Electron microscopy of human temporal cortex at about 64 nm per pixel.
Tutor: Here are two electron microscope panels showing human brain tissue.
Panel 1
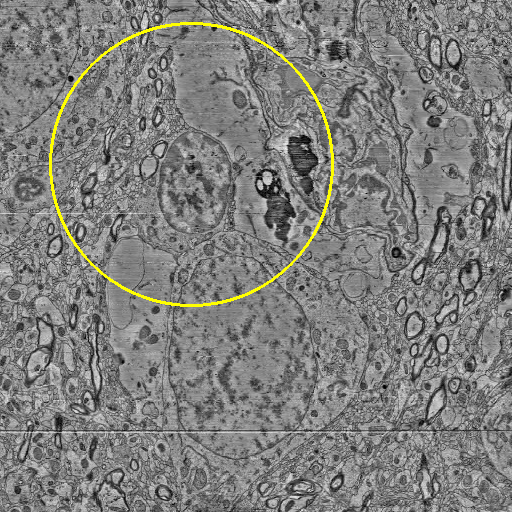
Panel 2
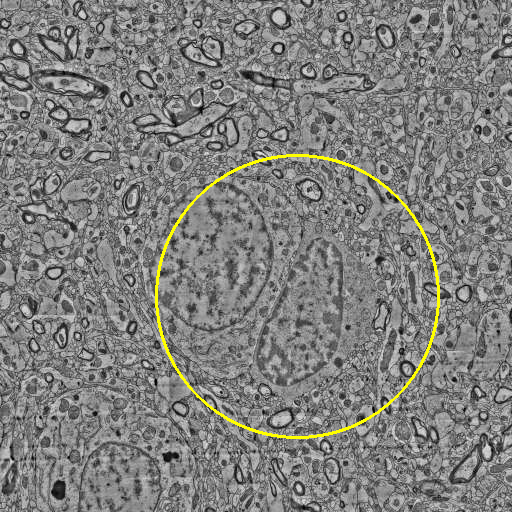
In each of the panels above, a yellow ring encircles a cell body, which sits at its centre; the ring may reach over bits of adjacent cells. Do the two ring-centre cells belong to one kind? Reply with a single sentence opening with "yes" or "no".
Yes, the two cells sitting at the ring centres in the panels belong to one kind.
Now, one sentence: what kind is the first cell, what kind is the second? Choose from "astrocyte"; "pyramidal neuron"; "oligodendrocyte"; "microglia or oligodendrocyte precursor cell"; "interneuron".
In each picture the ringed cell is an oligodendrocyte.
